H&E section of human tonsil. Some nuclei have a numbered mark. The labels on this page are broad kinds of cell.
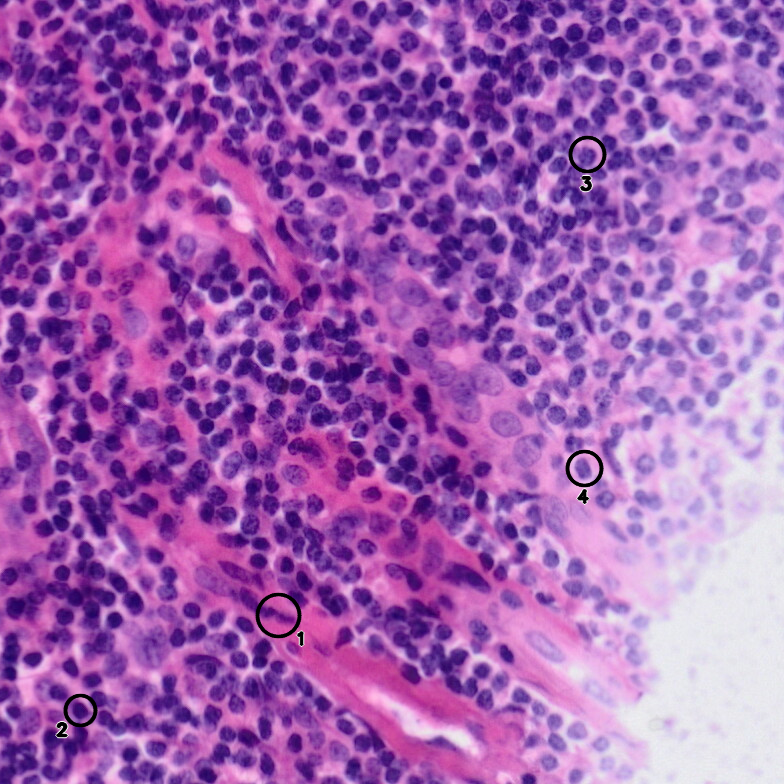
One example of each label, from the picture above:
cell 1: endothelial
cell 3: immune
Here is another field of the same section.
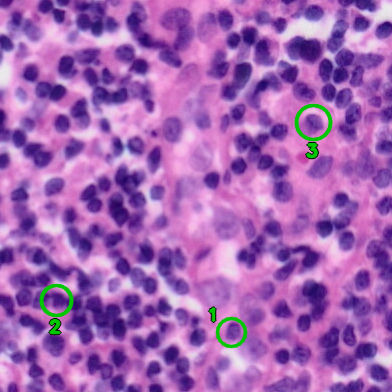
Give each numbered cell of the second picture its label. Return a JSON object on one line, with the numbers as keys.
{"1": "endothelial", "2": "immune", "3": "endothelial"}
